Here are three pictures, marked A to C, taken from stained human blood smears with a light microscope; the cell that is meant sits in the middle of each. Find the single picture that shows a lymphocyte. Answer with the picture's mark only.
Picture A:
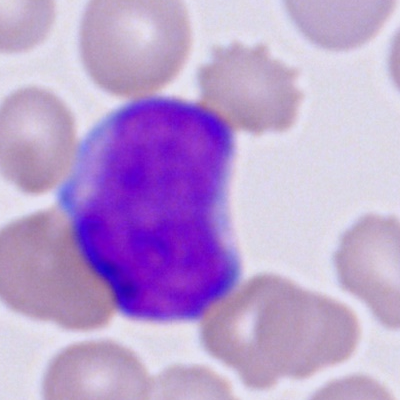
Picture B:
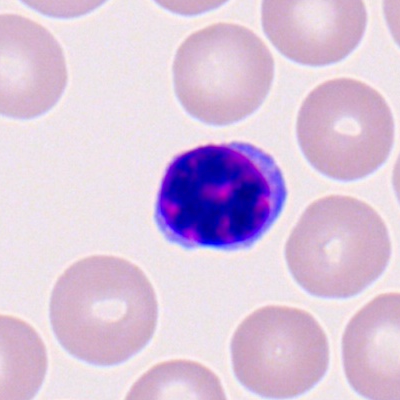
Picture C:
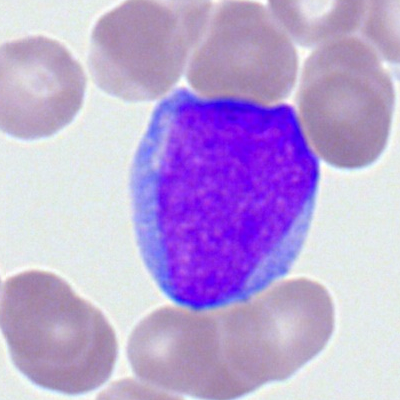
B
